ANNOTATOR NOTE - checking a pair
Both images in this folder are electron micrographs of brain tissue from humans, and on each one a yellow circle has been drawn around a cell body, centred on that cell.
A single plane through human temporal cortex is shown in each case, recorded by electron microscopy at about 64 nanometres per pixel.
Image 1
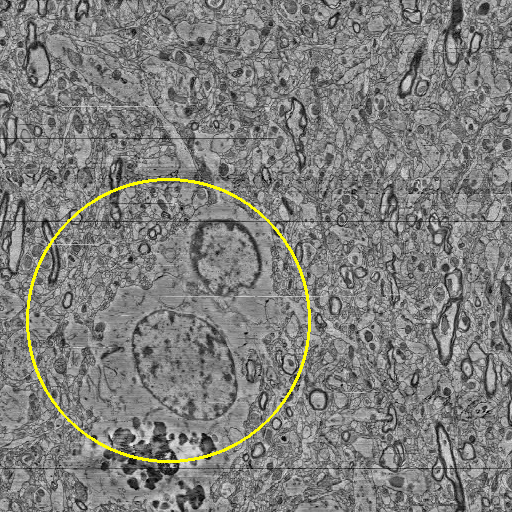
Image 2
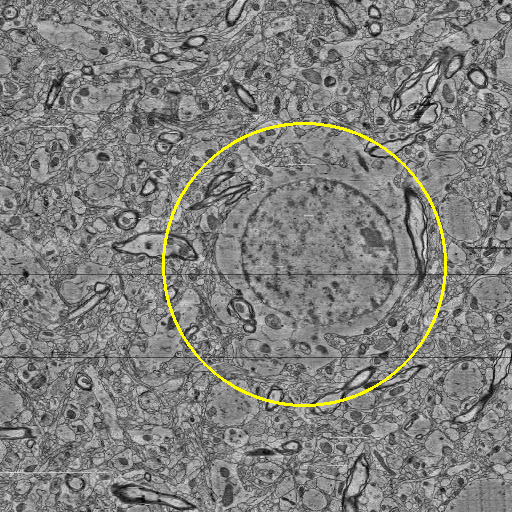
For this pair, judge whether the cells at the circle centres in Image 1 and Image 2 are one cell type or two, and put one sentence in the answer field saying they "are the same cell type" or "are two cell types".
For this pair, the cells at the circle centres in Images 1 and 2 are the same cell type.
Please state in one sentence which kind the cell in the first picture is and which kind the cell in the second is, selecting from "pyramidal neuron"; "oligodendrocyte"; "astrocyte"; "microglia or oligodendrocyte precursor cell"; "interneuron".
Both rings mark an astrocyte, one in each picture.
